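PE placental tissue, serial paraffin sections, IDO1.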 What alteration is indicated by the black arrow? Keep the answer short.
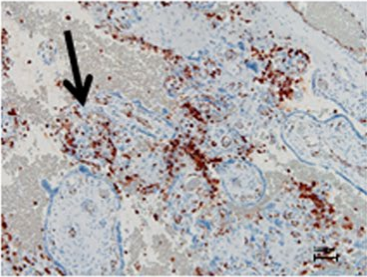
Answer: Chronic villitis and intervillositis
